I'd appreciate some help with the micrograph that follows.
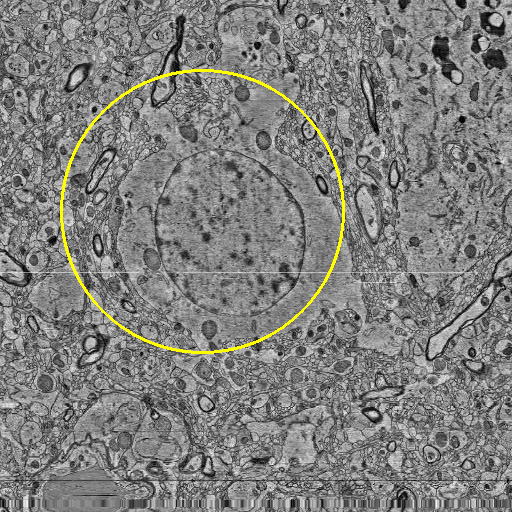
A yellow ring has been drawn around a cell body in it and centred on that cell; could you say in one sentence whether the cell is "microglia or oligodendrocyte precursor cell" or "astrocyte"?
It is an astrocyte at the centre of the ring.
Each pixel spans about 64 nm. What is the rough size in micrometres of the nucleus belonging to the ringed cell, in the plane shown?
In this plane, roughly 11 by 10 micrometres.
